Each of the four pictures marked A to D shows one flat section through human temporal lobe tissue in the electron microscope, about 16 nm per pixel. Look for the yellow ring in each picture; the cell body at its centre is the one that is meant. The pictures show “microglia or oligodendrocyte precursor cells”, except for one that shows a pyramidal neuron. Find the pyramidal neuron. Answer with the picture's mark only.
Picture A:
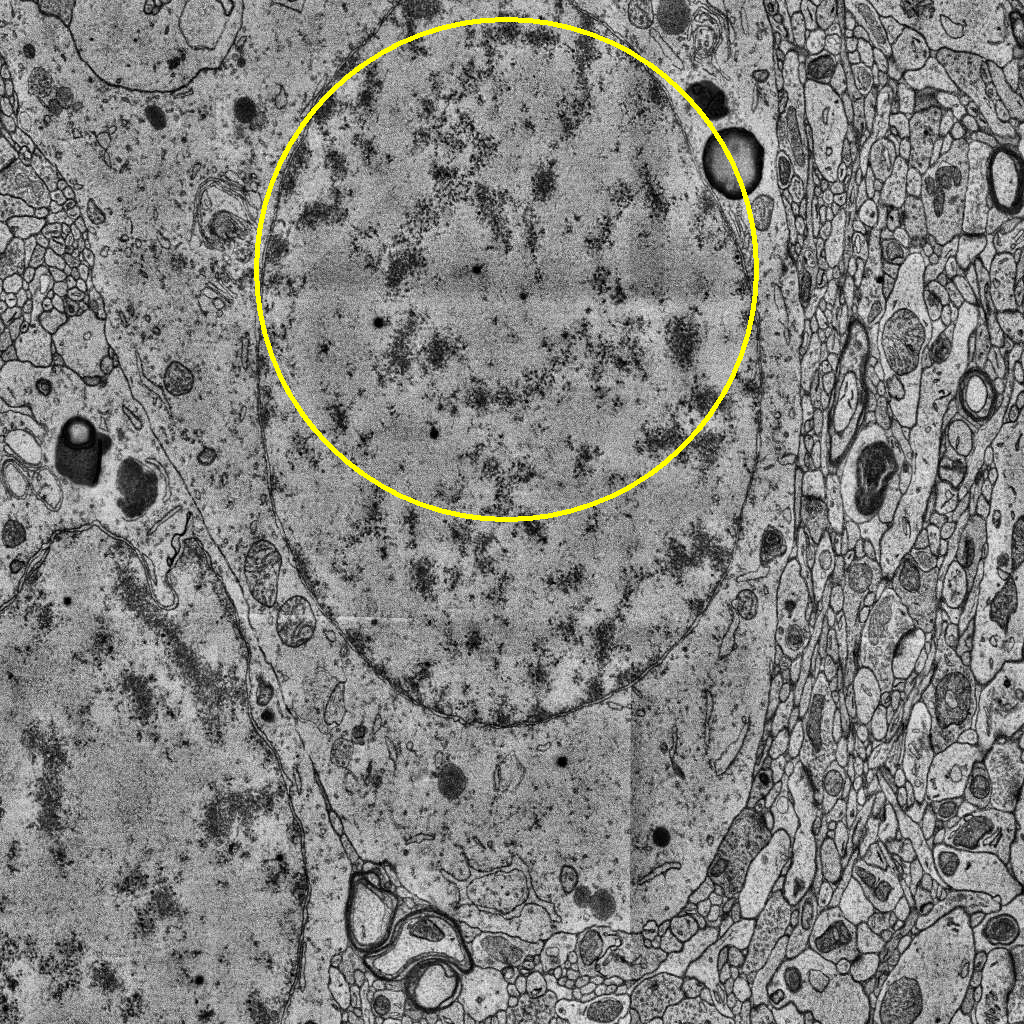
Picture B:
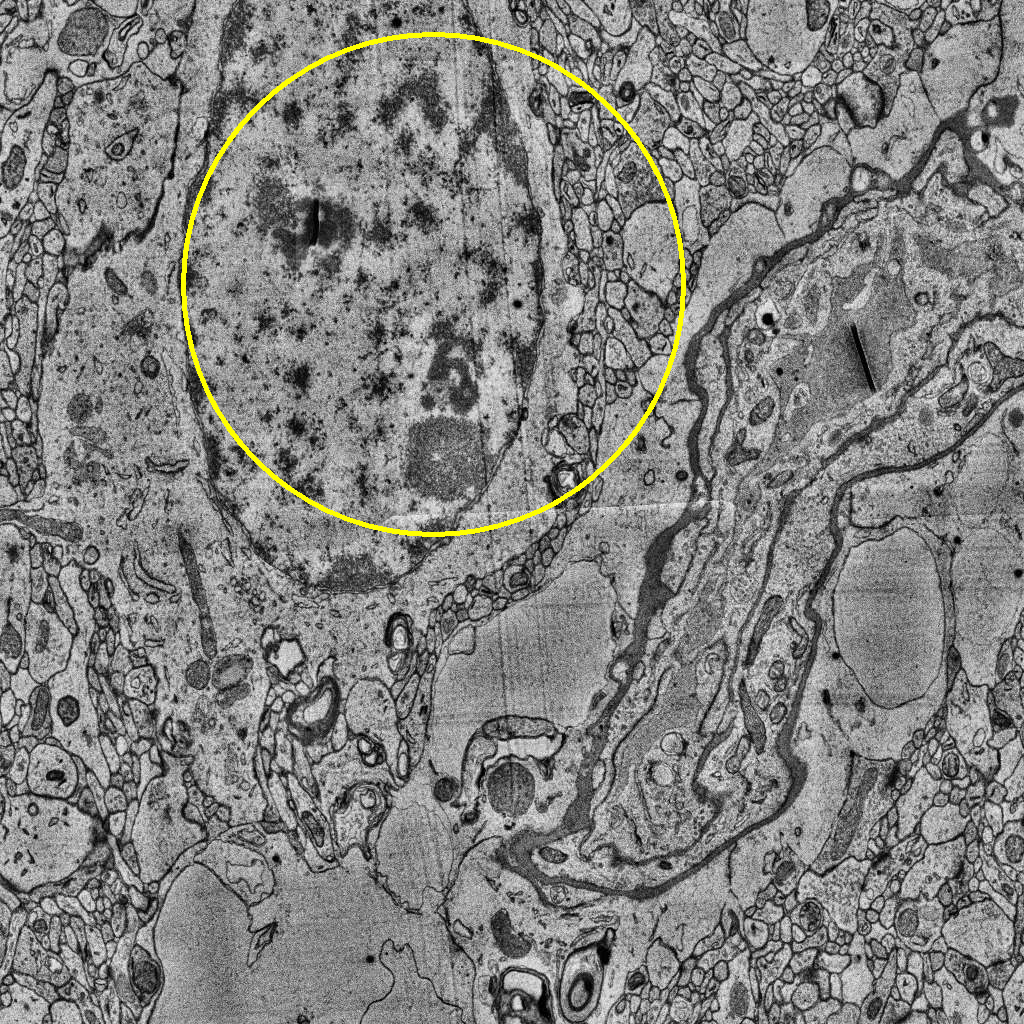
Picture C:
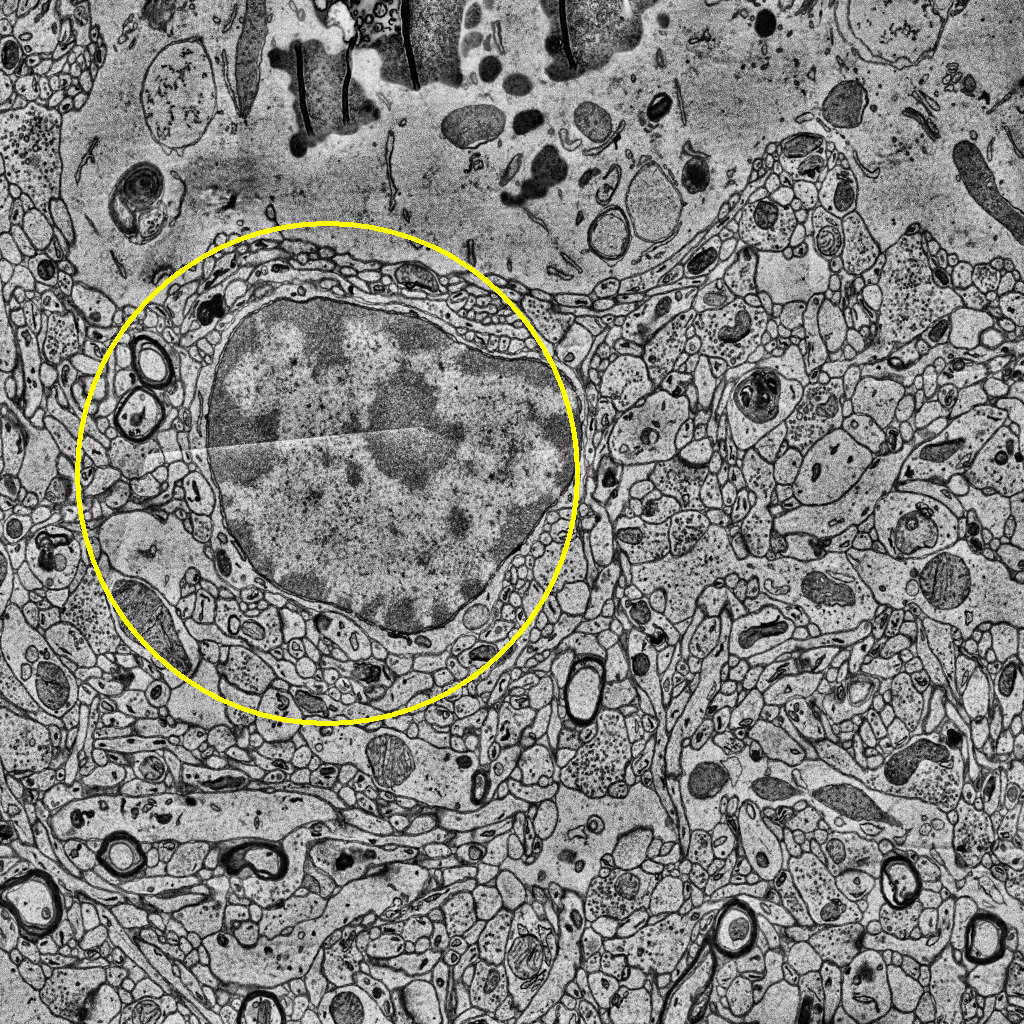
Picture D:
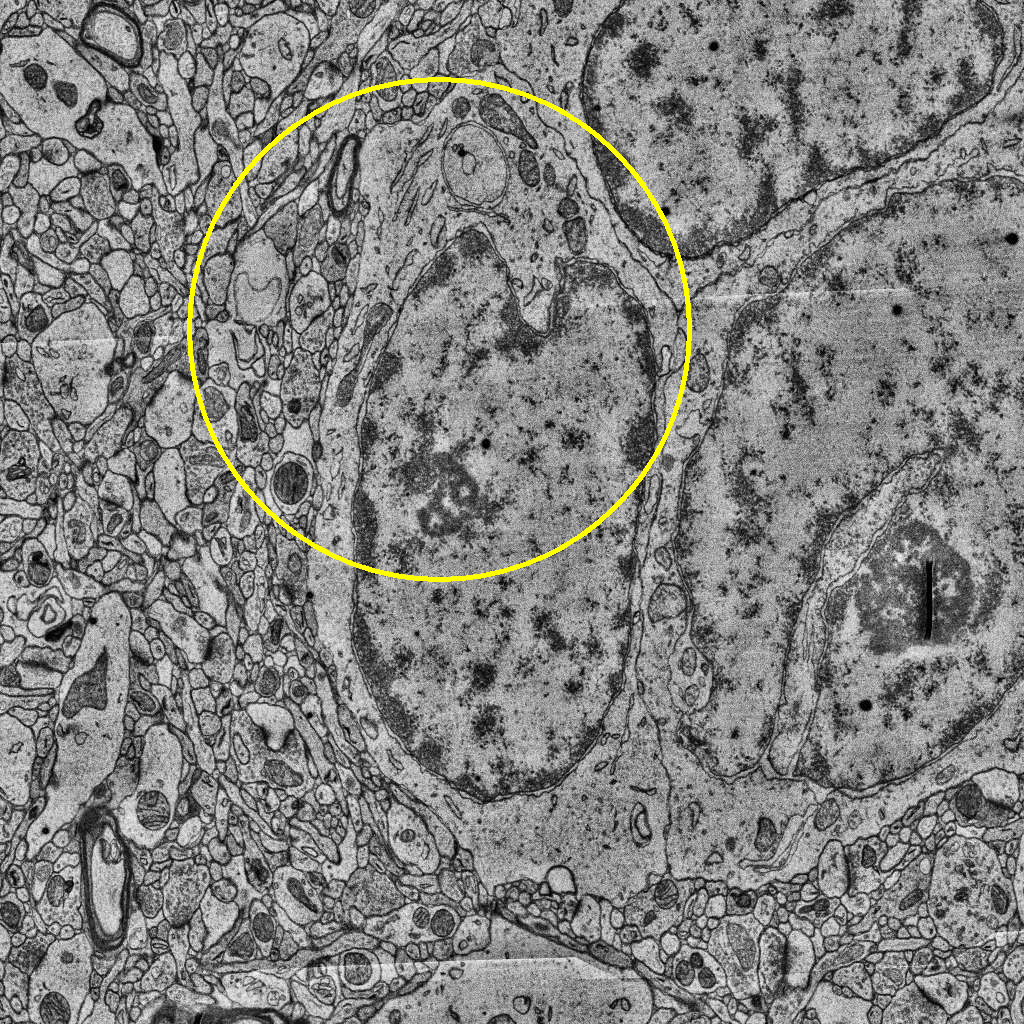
A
